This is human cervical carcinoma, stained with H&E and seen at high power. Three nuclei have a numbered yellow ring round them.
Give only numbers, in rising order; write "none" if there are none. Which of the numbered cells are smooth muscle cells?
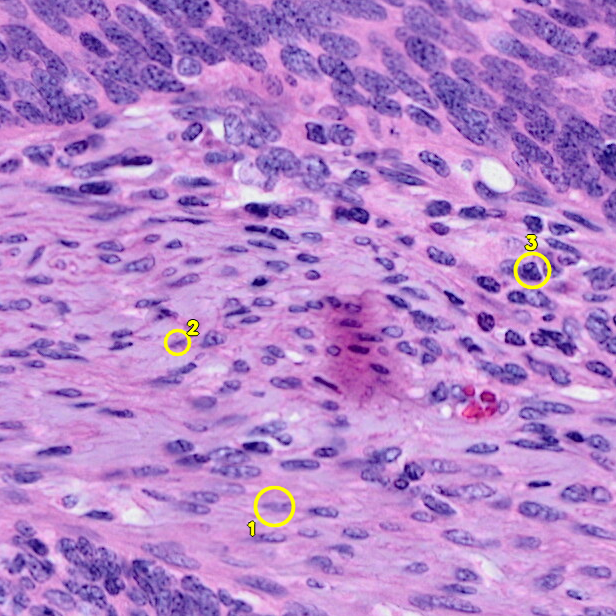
1, 2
